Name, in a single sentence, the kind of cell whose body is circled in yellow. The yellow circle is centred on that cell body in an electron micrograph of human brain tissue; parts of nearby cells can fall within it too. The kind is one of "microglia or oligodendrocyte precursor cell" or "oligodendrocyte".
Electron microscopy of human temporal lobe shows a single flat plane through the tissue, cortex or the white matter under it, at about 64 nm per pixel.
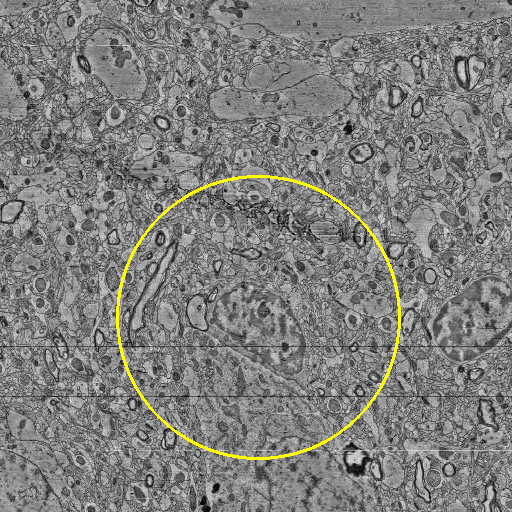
The circled cell body belongs to an oligodendrocyte.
